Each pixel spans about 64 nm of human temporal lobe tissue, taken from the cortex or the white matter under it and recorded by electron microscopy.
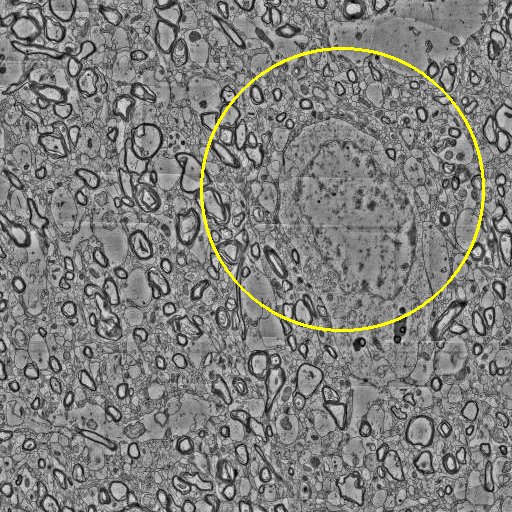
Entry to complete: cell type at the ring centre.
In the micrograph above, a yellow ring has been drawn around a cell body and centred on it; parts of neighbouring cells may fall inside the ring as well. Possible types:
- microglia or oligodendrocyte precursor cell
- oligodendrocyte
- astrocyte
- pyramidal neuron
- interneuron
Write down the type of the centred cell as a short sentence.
The ring is centred on an interneuron.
